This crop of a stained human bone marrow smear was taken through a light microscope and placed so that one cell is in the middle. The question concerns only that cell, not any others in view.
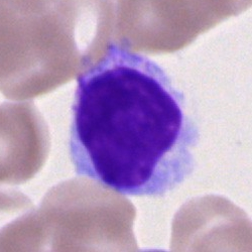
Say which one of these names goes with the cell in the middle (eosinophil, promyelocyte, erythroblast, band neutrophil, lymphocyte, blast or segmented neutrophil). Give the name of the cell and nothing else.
lymphocyte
